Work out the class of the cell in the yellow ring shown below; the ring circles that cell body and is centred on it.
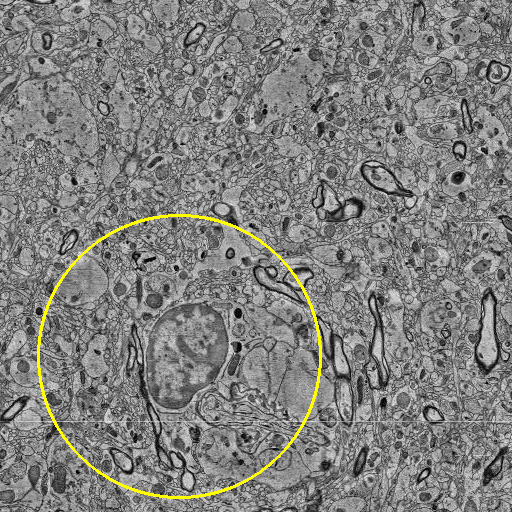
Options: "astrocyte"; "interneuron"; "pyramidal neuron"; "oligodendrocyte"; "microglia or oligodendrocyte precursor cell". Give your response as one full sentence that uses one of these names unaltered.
The body ringed in yellow, right at the ring's centre, is that of a microglial cell or oligodendrocyte precursor cell.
